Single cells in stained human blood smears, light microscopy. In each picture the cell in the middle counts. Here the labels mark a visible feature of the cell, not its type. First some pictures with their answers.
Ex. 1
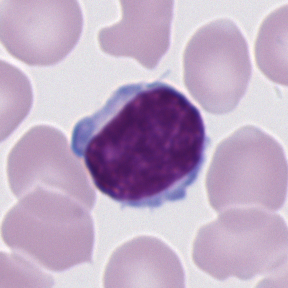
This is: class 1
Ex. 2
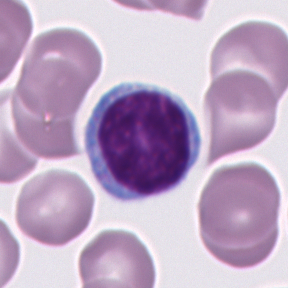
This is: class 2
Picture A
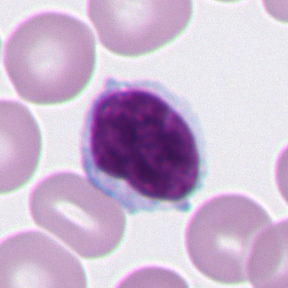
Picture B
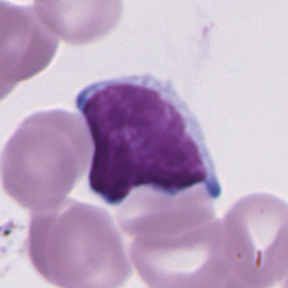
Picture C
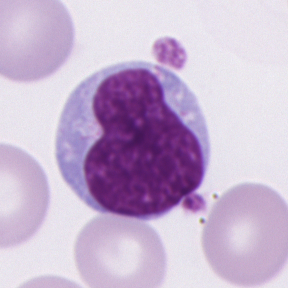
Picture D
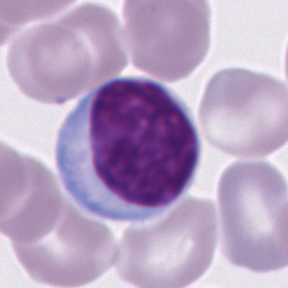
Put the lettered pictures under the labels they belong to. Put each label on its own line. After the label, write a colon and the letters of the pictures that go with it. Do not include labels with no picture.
class 1: A, B
class 2: C, D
